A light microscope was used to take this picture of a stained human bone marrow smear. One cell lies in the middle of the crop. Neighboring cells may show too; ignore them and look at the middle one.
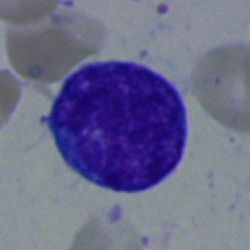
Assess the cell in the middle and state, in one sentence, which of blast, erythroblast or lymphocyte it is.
The cell occupying the middle of the crop is a blast.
